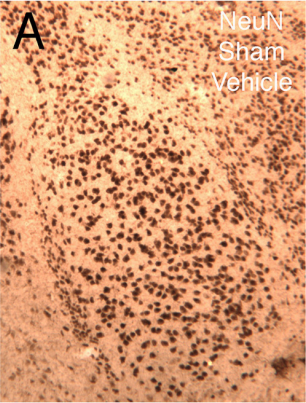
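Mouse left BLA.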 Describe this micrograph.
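This section of the amygdala shows numerous neurons whose dark brown stained nuclei and cell bodies are densely packed within an oval nucleus. The surrounding tissue to the sides holds fewer, more sparsely scattered stained cells on a pale background.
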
